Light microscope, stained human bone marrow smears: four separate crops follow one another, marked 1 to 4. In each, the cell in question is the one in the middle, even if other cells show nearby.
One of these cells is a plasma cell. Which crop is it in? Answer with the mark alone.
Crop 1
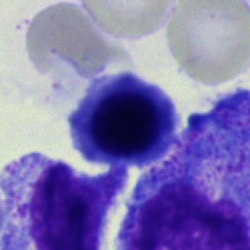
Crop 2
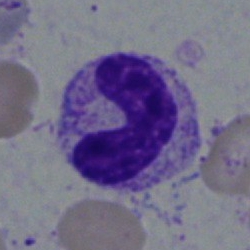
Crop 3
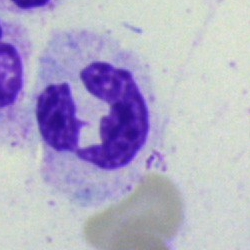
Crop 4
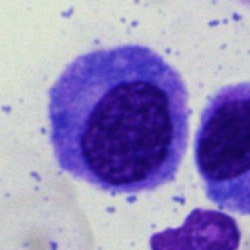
4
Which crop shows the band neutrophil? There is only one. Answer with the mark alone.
2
